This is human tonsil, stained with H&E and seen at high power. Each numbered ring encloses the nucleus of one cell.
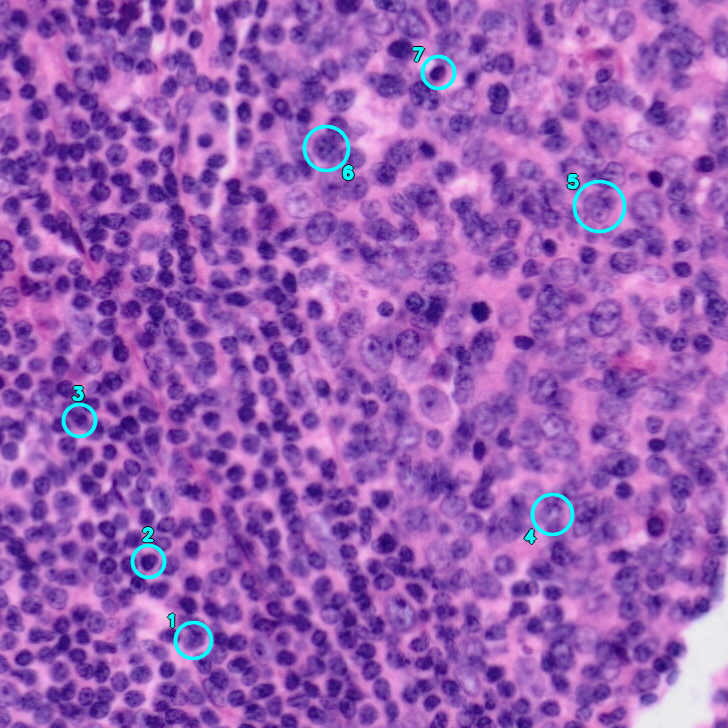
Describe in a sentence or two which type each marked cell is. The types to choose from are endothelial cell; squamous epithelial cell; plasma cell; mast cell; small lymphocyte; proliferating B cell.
Cells 1, 2 and 3 are small lymphocytes. Cells 4, 5, 6 and 7 are proliferating B cells.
